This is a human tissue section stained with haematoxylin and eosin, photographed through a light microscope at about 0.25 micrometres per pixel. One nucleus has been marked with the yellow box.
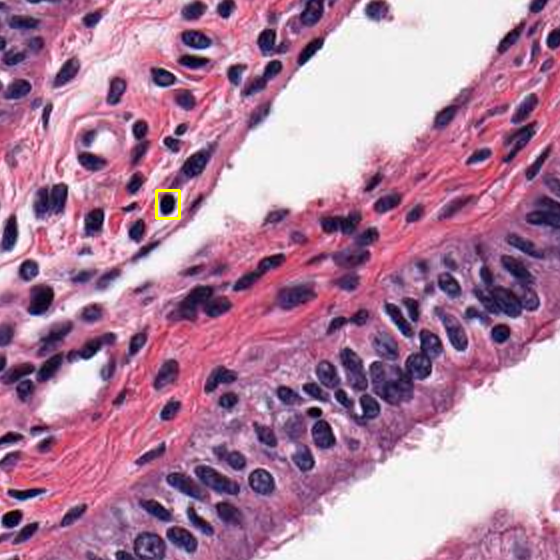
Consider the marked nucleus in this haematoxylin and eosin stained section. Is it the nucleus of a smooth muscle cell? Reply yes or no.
no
